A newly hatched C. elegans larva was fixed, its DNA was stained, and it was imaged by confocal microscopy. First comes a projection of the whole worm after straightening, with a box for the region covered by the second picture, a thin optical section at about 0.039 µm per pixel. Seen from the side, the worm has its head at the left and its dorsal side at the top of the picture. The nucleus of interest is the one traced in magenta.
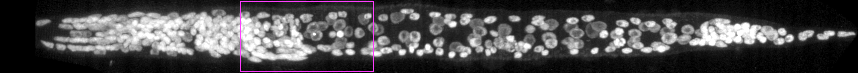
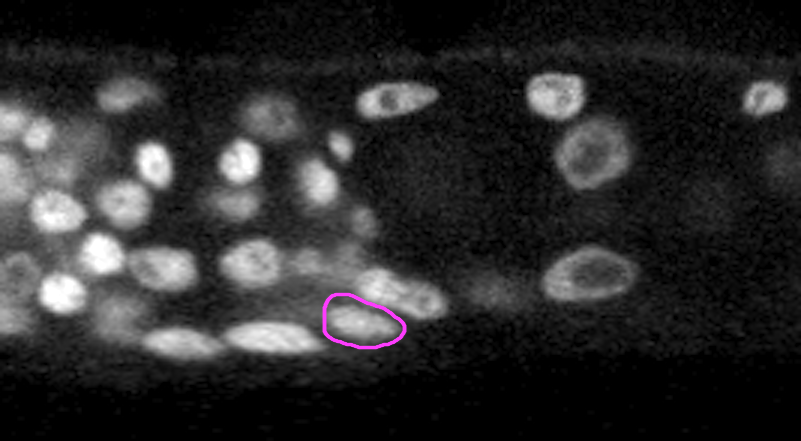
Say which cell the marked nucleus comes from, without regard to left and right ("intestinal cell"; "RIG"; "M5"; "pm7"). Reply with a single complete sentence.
The marked cell is RIG, a neuron.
